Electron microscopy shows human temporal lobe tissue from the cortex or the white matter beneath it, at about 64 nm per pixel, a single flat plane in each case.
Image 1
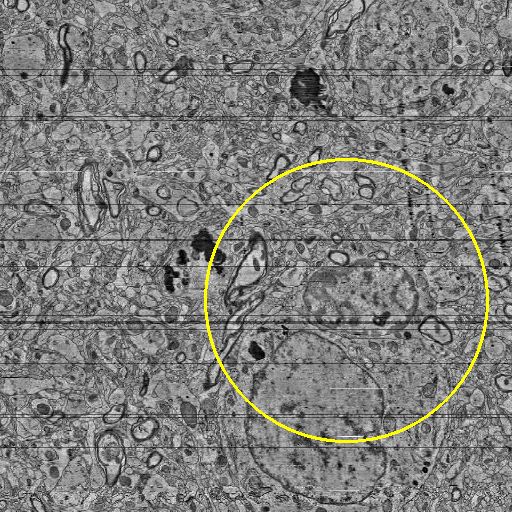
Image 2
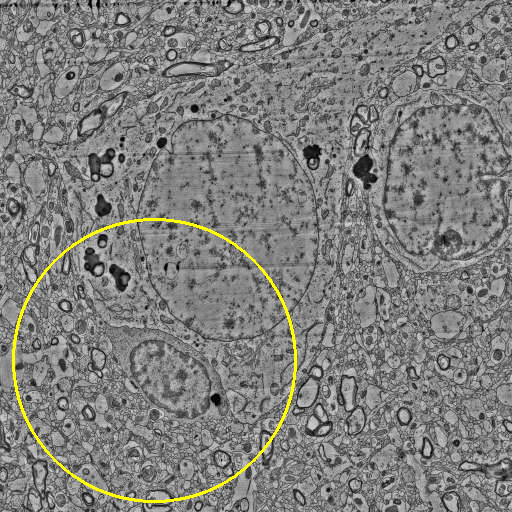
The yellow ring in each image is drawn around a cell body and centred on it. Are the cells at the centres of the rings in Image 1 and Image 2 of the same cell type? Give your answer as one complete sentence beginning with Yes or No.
Yes, both cells are of the same type.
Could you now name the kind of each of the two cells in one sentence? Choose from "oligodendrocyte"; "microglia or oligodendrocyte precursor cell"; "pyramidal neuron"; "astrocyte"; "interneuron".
Both the first and the second picture show an oligodendrocyte in the ring.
